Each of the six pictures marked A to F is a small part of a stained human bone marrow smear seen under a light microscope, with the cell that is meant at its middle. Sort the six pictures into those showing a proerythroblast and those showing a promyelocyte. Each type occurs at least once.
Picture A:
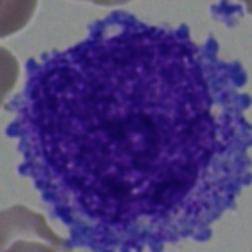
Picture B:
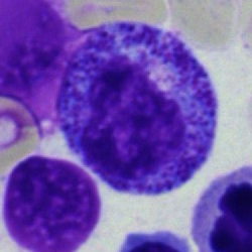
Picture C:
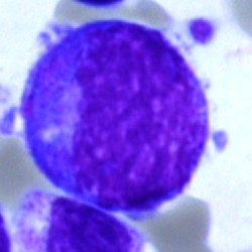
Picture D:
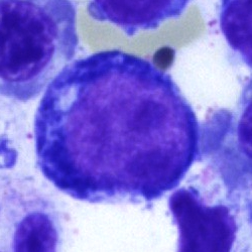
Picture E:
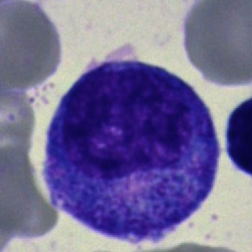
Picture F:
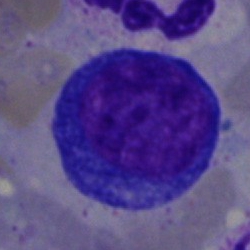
A: promyelocyte
B: promyelocyte
C: promyelocyte
D: proerythroblast
E: promyelocyte
F: proerythroblast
